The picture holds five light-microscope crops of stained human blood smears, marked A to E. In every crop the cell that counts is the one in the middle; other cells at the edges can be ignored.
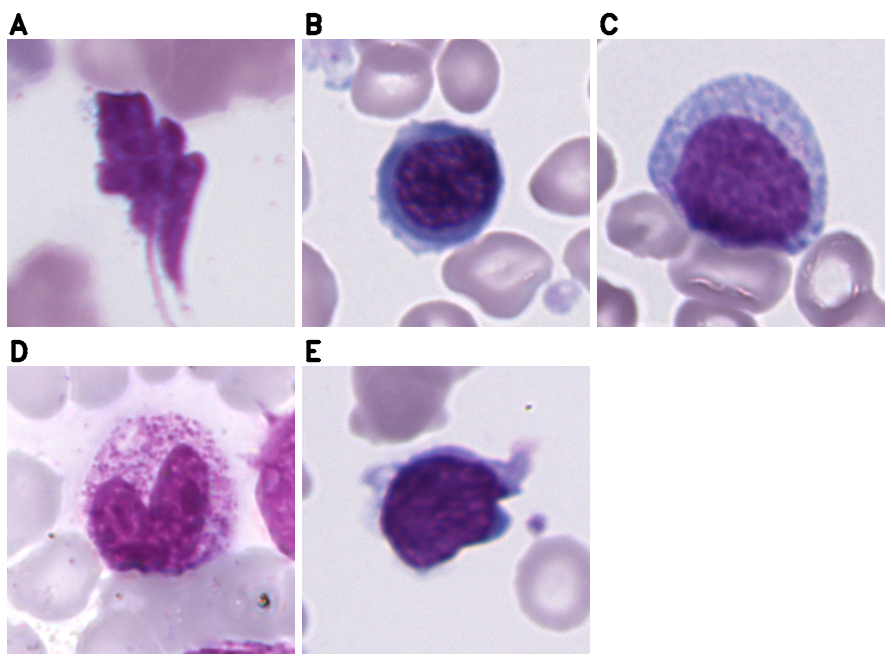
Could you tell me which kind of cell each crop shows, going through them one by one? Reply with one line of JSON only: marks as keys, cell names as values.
{"A": "smudge cell", "B": "normoblast", "C": "promyelocyte", "D": "band neutrophil", "E": "typical lymphocyte"}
